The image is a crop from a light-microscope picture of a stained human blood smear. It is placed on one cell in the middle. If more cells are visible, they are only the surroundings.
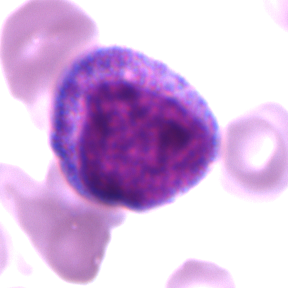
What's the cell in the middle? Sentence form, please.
Here the cell in the middle is a promyelocyte.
